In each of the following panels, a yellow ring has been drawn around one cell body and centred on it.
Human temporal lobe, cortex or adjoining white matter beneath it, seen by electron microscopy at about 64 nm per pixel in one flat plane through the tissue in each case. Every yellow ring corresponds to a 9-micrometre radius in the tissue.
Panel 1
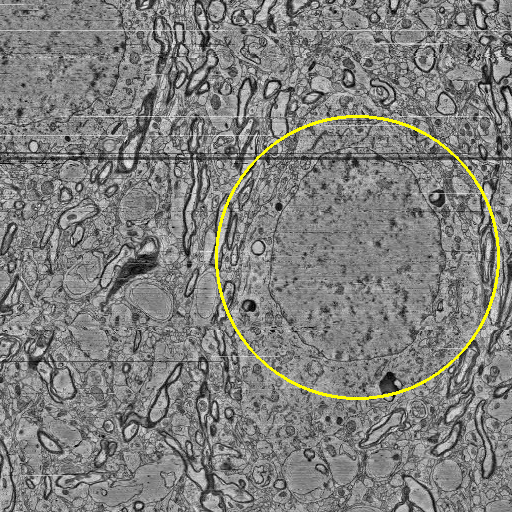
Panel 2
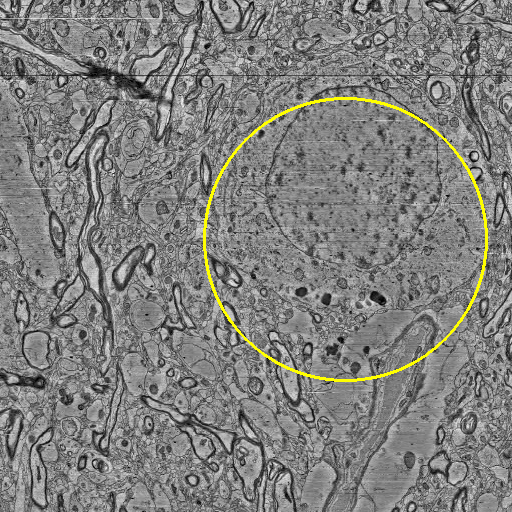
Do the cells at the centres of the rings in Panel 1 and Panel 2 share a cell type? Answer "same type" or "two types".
same type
